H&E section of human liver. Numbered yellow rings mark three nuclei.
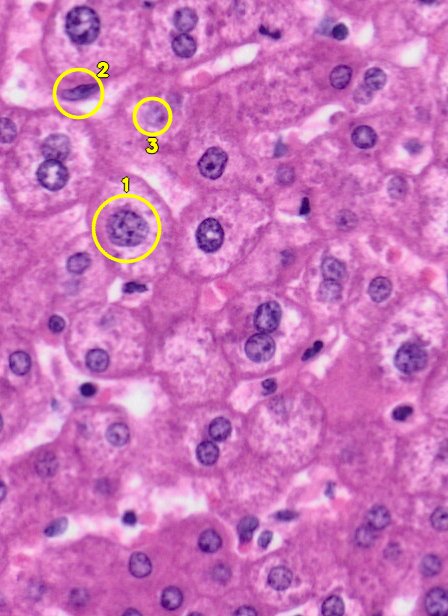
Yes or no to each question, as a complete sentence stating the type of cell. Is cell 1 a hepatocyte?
Yes, the cell given number 1 is a hepatocyte.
